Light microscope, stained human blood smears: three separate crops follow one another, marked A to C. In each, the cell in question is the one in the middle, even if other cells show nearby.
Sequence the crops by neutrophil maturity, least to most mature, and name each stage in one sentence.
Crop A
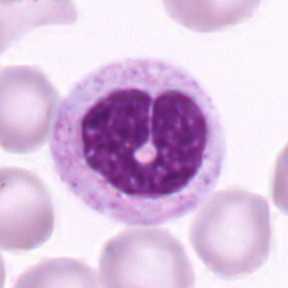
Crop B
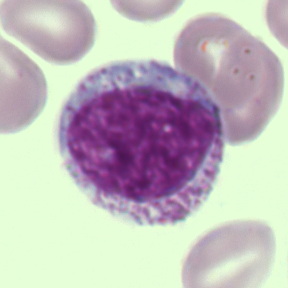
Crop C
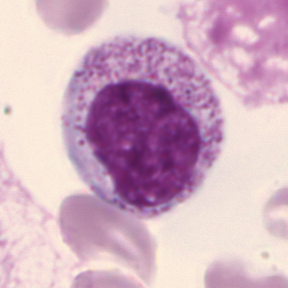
From least to most mature, the cells come in the order crop B (a myelocyte), crop C (a metamyelocyte) and crop A (a band neutrophil).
